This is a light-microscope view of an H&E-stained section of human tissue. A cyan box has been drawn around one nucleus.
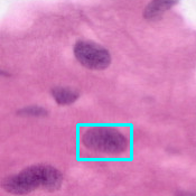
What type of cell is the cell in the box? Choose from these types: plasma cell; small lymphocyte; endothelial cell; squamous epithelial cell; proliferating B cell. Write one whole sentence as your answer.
The cell meant here is a squamous epithelial cell.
